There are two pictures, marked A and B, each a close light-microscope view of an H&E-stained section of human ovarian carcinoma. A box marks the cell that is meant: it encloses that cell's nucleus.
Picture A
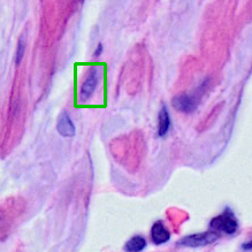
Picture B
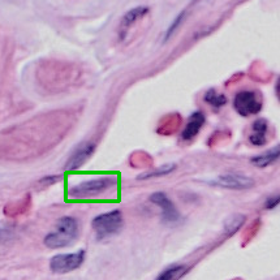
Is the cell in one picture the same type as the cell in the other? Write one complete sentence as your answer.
Yes; the cells in both pictures are endothelial cells.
